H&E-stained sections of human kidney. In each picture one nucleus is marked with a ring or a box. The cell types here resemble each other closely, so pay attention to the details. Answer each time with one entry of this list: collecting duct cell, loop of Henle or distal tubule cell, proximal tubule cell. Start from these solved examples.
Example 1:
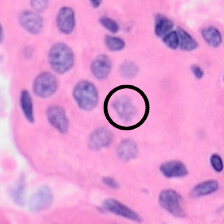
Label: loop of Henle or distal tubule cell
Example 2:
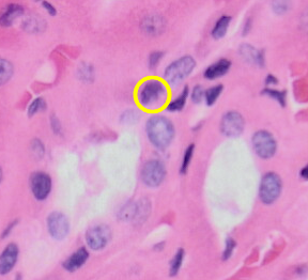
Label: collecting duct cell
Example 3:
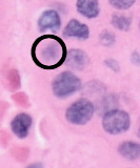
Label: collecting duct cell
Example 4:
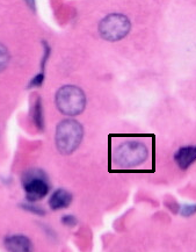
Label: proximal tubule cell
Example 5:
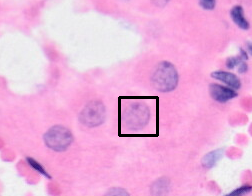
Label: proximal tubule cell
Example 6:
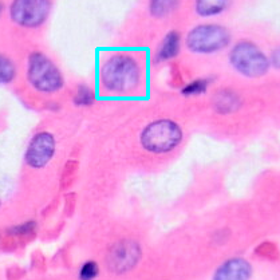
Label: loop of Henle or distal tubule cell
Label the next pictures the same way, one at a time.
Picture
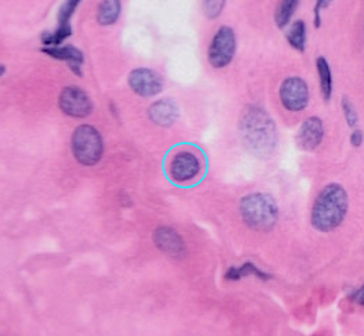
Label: loop of Henle or distal tubule cell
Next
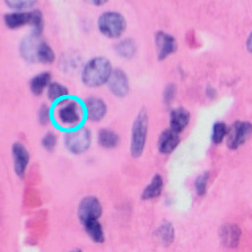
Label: collecting duct cell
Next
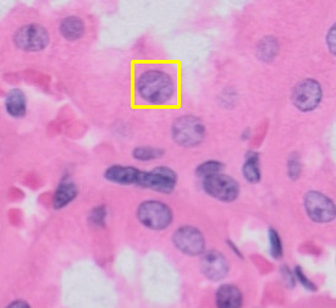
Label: proximal tubule cell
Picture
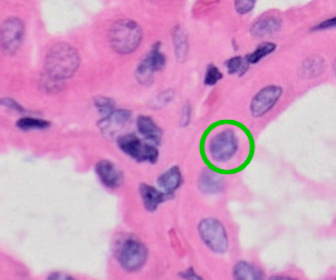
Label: loop of Henle or distal tubule cell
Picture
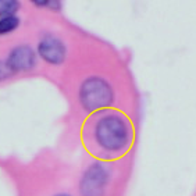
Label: collecting duct cell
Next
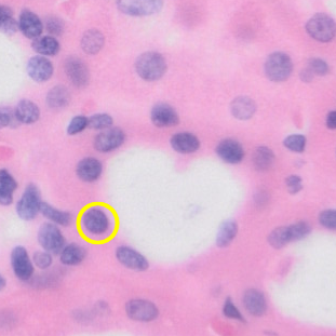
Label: loop of Henle or distal tubule cell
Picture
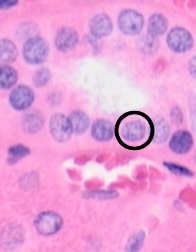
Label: collecting duct cell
